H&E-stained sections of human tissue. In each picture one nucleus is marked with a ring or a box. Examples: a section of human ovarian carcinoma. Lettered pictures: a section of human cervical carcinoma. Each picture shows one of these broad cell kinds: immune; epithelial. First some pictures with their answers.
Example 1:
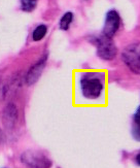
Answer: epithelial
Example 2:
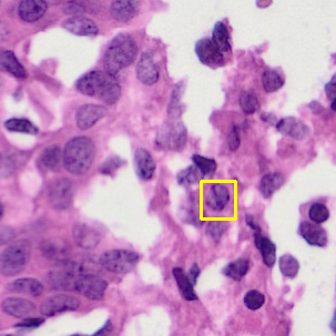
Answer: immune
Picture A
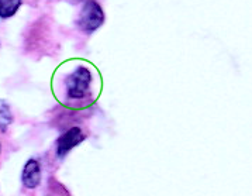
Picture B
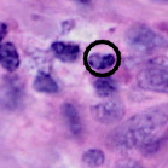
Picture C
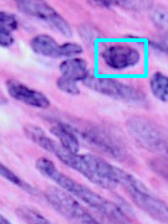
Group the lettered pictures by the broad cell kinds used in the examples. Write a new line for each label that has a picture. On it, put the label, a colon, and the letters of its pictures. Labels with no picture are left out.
immune: A, B, C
